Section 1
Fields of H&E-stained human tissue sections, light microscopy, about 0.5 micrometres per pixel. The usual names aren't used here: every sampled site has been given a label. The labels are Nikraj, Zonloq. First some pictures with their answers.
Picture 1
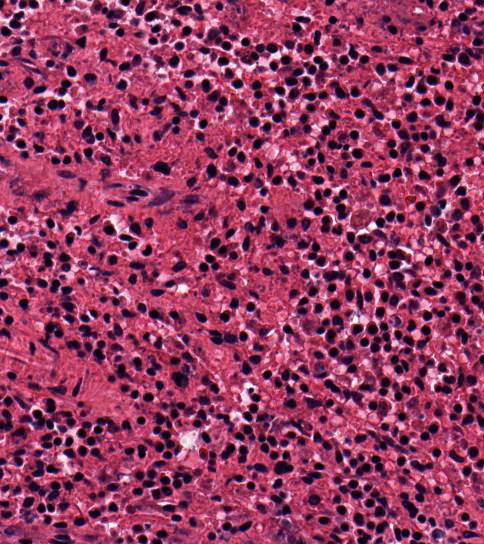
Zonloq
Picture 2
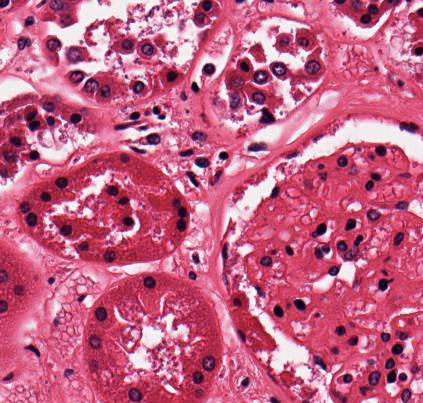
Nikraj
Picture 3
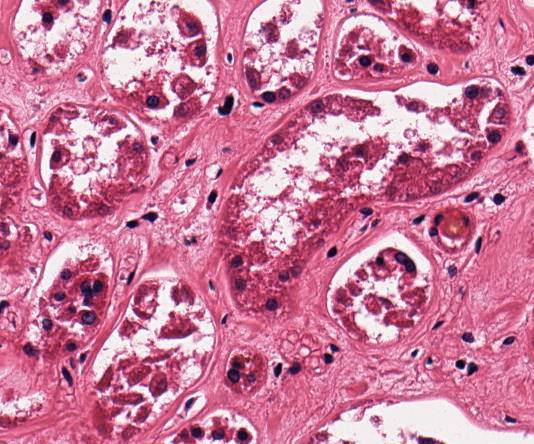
Nikraj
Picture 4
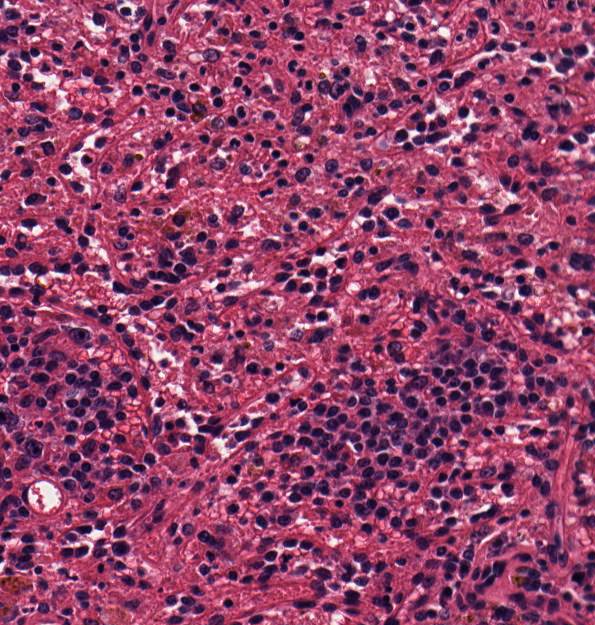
Zonloq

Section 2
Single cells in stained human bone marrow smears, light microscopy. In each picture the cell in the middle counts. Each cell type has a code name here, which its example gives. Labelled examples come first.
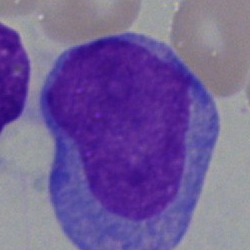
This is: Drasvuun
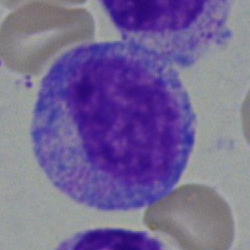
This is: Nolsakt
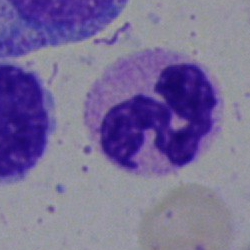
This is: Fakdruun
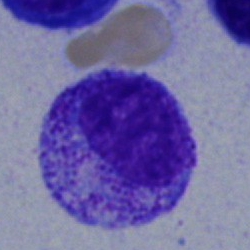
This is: Nolsakt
